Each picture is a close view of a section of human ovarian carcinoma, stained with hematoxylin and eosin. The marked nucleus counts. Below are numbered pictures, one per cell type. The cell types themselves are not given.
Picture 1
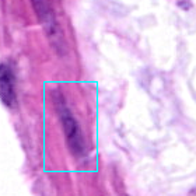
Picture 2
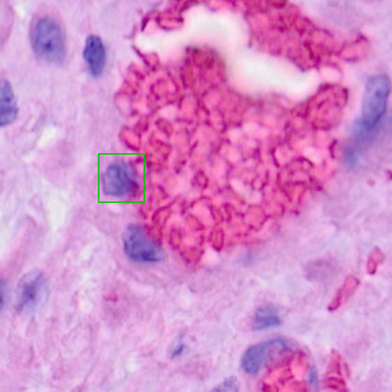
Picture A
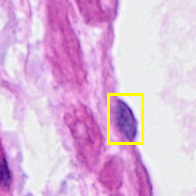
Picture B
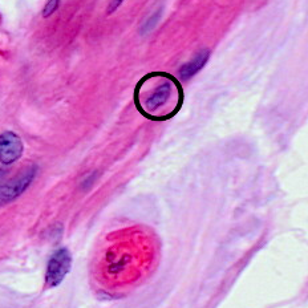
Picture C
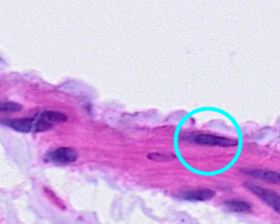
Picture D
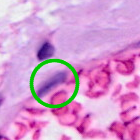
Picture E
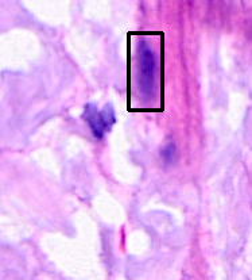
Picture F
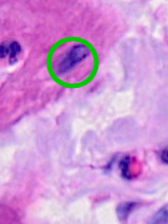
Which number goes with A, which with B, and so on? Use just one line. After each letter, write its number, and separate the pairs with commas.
A 2, B 1, C 1, D 2, E 1, F 1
